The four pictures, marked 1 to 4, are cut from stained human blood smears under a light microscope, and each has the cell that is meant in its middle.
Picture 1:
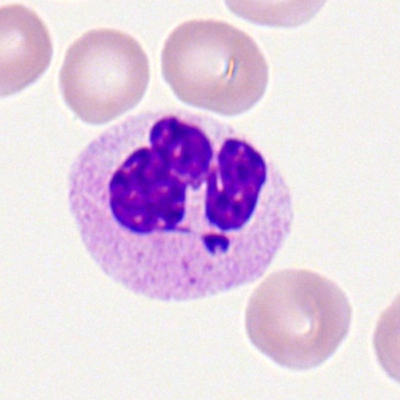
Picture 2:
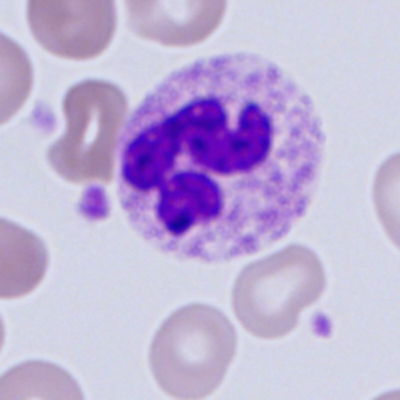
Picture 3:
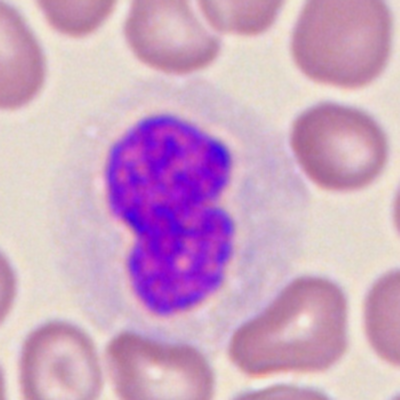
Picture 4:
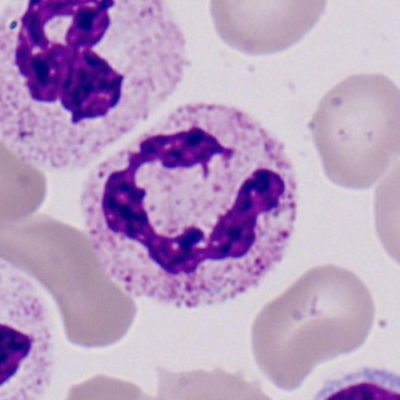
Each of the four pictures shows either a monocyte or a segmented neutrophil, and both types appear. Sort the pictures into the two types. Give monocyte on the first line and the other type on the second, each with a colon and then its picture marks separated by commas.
monocyte: 3
segmented neutrophil: 1, 2, 4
